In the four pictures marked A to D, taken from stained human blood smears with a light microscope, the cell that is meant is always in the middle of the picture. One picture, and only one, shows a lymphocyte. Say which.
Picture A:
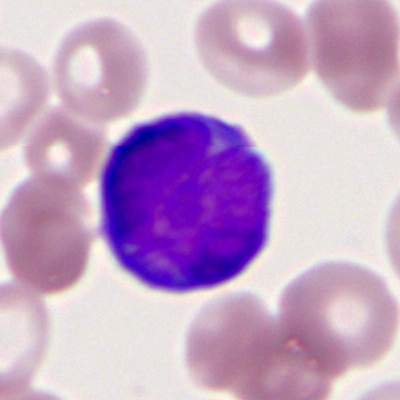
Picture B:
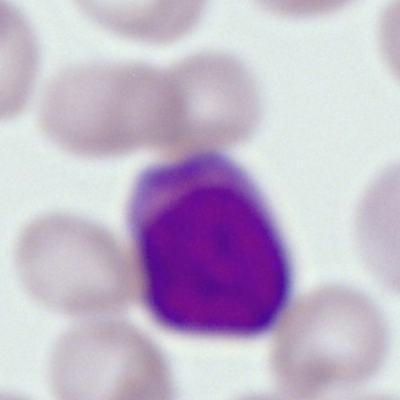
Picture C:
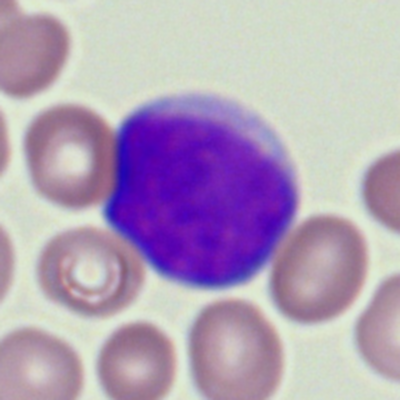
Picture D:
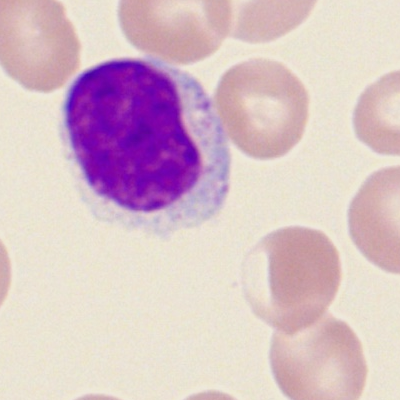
D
